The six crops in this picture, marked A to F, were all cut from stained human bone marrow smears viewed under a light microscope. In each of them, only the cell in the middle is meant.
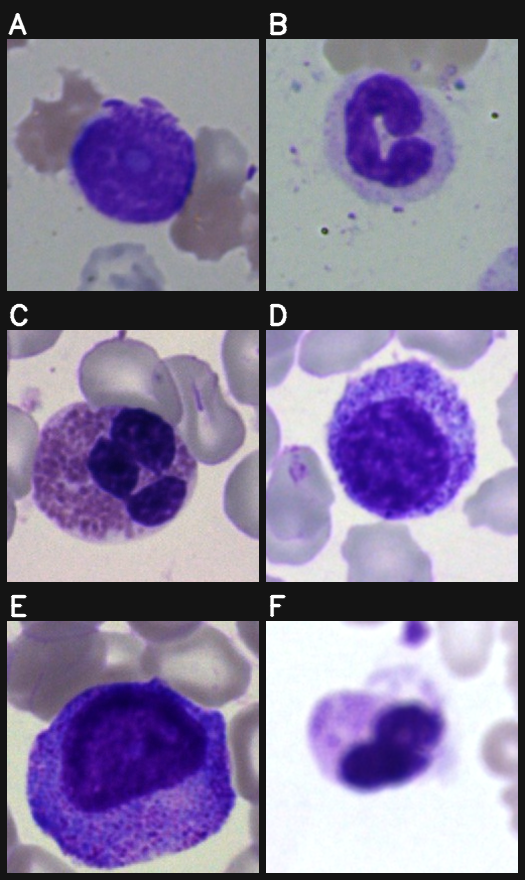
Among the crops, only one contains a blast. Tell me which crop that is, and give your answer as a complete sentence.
Crop A is where a blast is to be found.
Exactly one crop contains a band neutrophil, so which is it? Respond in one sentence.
The crop marked B is the one that shows a band neutrophil.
